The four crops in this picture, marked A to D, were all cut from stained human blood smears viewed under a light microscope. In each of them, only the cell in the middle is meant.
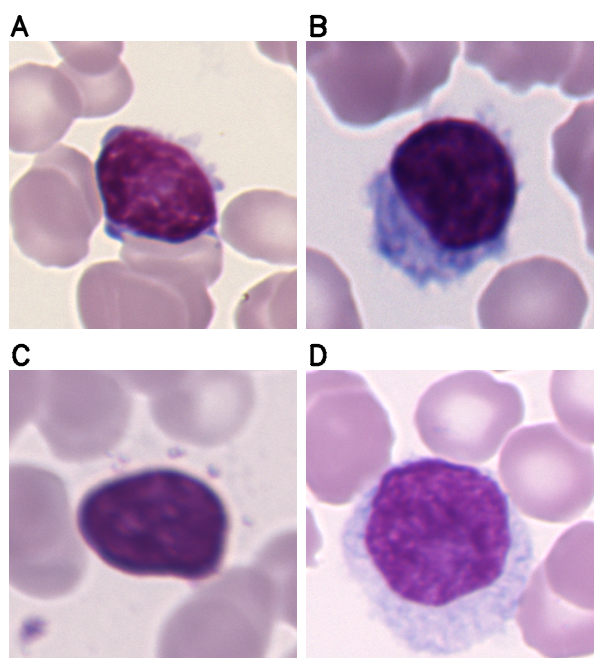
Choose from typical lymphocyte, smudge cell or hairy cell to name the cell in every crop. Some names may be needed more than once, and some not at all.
A: typical lymphocyte
B: hairy cell
C: smudge cell
D: hairy cell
